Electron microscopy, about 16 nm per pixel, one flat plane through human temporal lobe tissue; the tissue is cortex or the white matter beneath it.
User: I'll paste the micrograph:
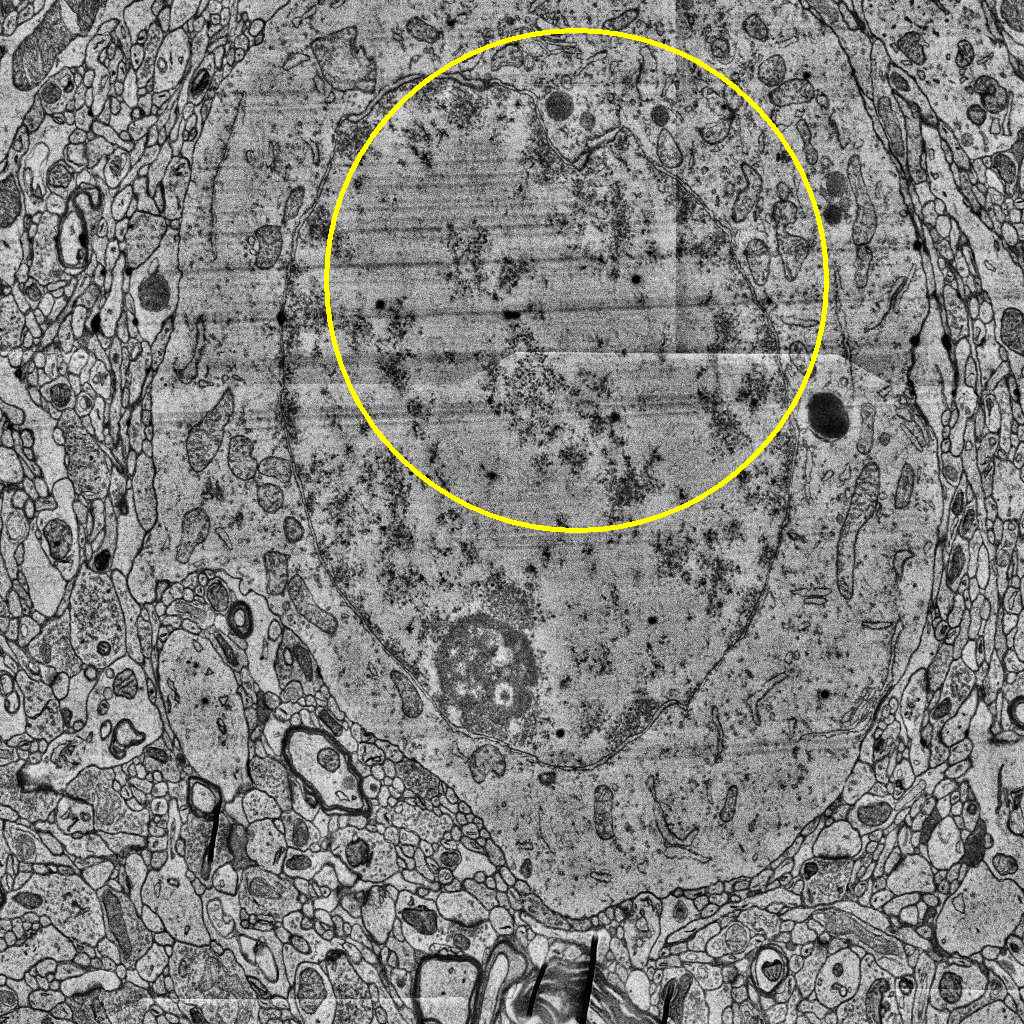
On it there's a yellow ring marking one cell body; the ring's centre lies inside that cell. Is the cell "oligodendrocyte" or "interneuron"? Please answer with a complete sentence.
The cell at the centre of the yellow ring is an interneuron.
